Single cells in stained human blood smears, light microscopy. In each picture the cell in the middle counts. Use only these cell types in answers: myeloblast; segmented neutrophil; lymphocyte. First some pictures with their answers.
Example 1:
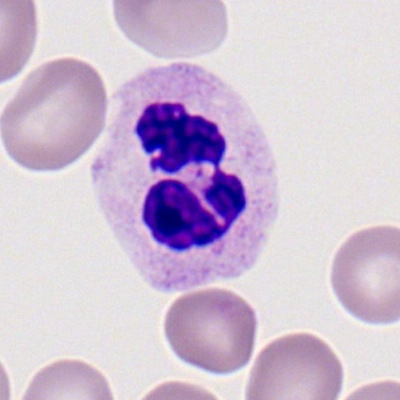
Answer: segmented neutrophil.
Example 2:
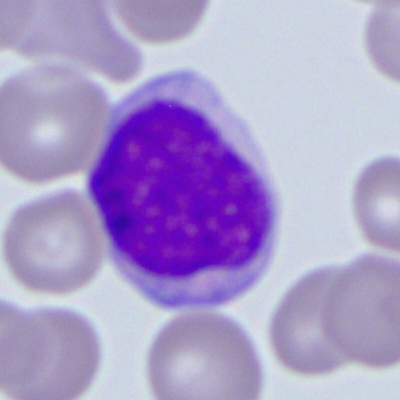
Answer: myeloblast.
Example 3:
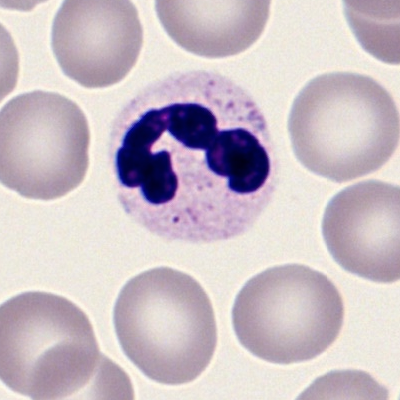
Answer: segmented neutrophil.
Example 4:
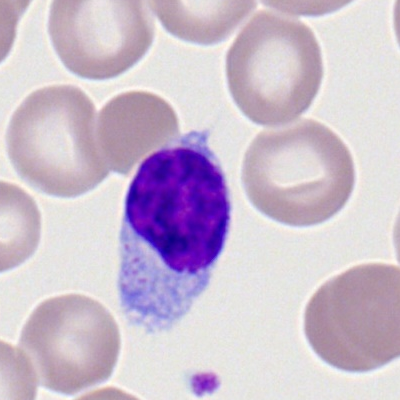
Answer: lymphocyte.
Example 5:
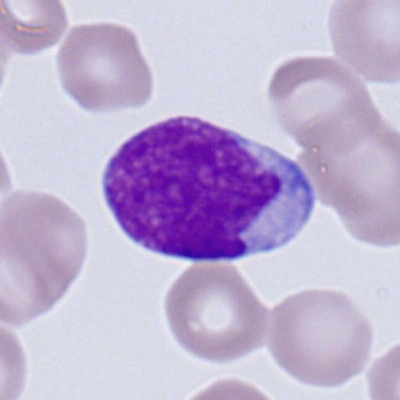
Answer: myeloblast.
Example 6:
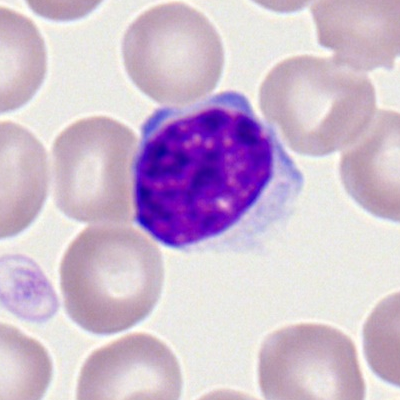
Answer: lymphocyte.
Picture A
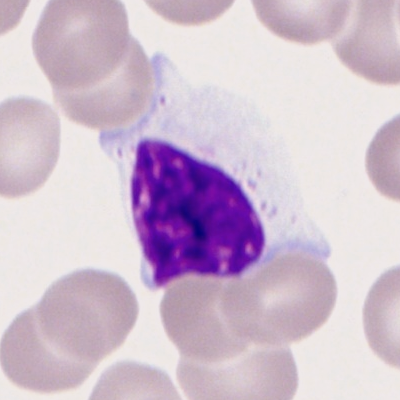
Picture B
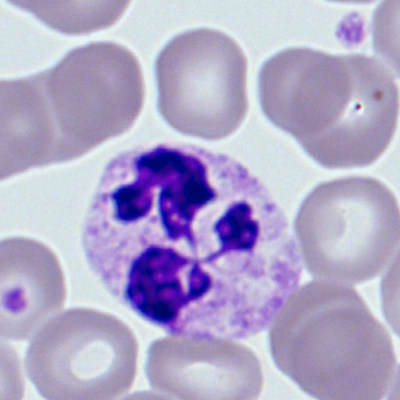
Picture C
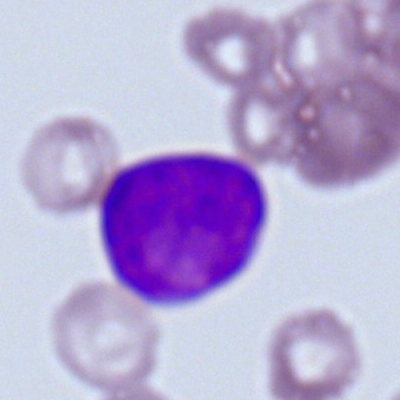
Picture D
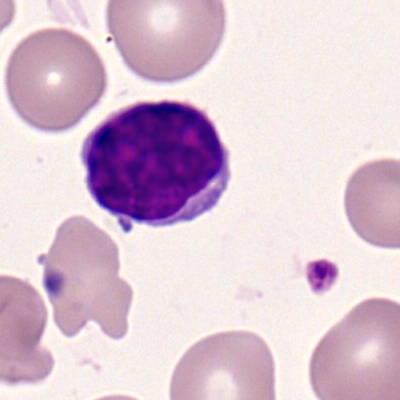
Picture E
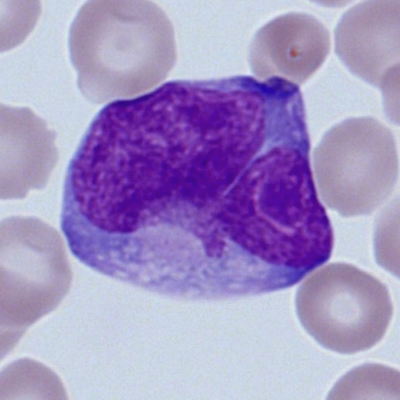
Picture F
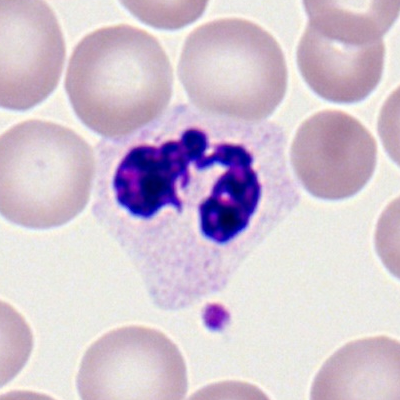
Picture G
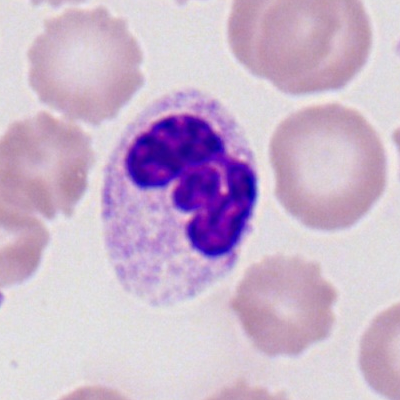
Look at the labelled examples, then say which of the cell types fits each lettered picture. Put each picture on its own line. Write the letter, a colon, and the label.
A: lymphocyte.
B: segmented neutrophil.
C: myeloblast.
D: lymphocyte.
E: myeloblast.
F: segmented neutrophil.
G: segmented neutrophil.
